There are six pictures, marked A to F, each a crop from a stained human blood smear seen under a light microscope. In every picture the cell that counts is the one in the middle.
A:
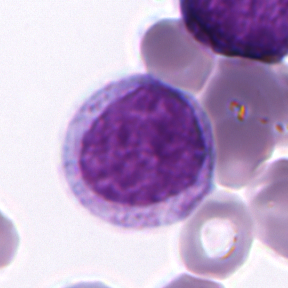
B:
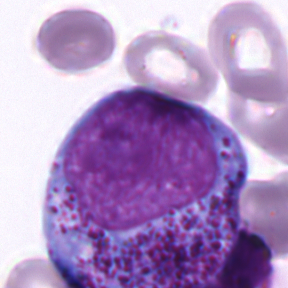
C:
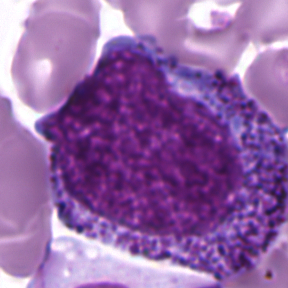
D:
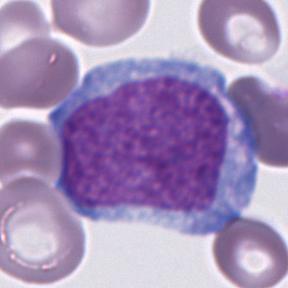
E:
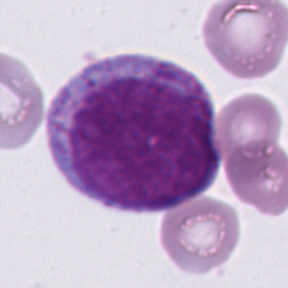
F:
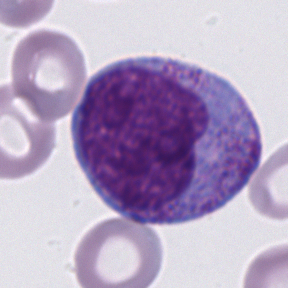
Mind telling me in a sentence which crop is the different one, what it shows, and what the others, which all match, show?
Crop A is the only crop with a myelocyte, the others all showing promyelocytes.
